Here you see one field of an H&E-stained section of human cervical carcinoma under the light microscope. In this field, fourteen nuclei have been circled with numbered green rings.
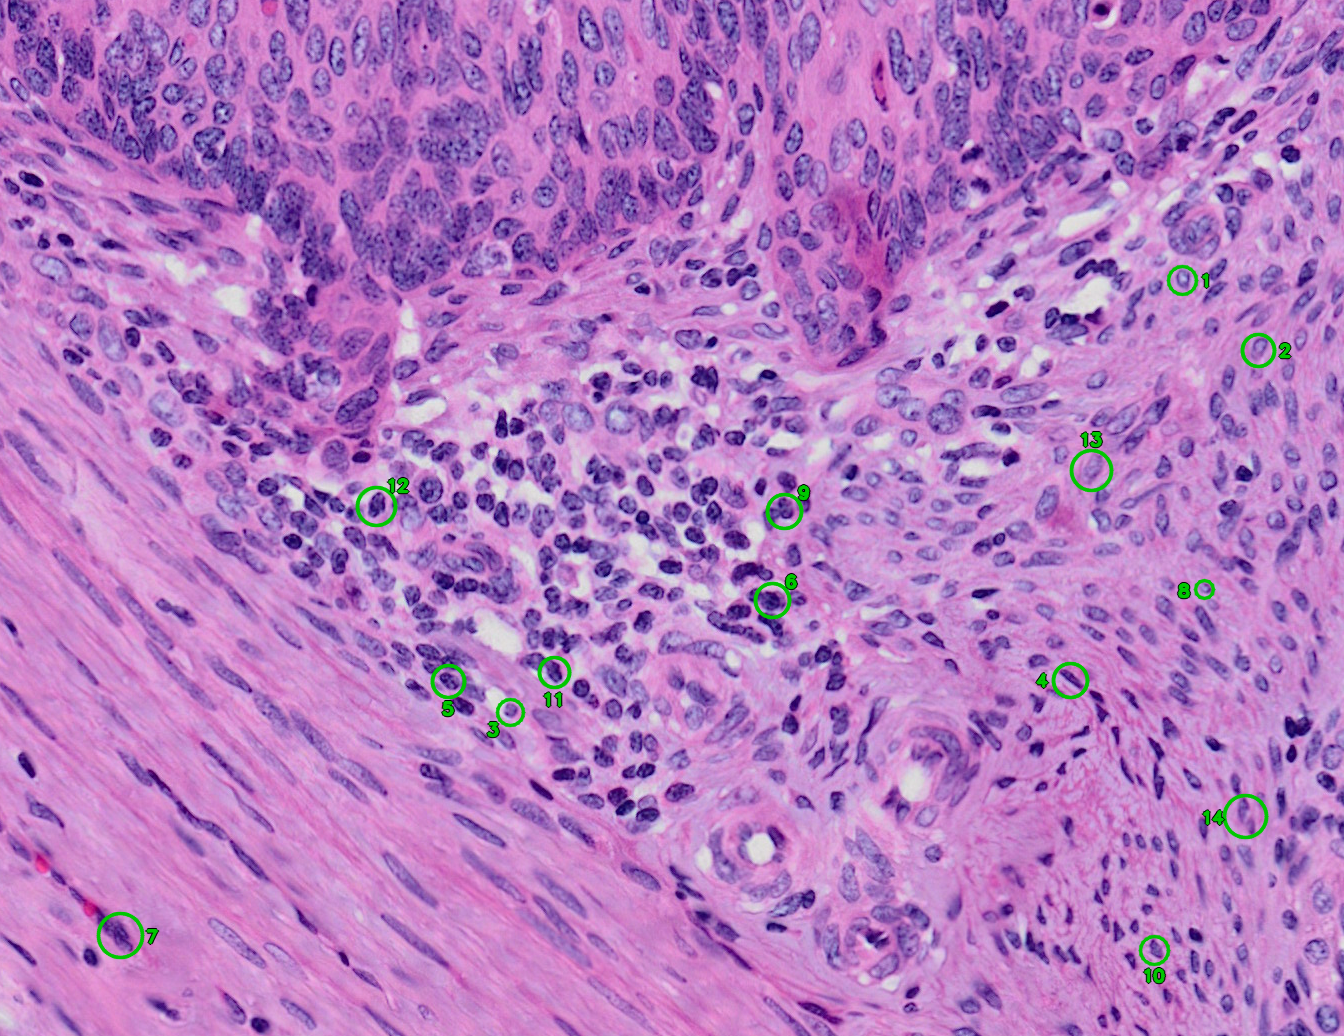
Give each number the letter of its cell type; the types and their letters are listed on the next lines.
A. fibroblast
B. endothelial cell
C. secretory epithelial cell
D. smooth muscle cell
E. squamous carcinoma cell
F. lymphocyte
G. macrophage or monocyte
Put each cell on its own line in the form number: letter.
1: D
2: D
3: F
4: D
5: F
6: F
7: B
8: D
9: F
10: D
11: F
12: F
13: D
14: D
